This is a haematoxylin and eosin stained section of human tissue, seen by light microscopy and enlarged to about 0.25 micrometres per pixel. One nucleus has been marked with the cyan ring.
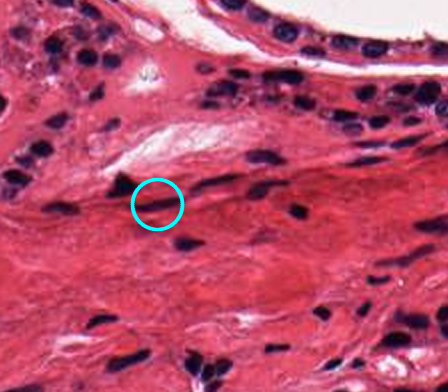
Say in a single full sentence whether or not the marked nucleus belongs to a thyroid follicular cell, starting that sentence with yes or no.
No, it is to a supporting cell that the marked nucleus belongs, not to a thyroid follicular cell.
